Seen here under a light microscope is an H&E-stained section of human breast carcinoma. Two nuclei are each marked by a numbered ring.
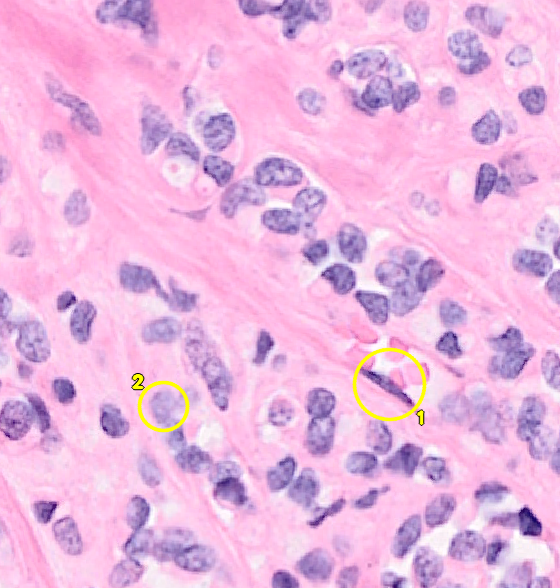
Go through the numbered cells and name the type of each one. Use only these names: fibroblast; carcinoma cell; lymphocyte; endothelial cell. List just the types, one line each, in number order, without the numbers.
endothelial cell
carcinoma cell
